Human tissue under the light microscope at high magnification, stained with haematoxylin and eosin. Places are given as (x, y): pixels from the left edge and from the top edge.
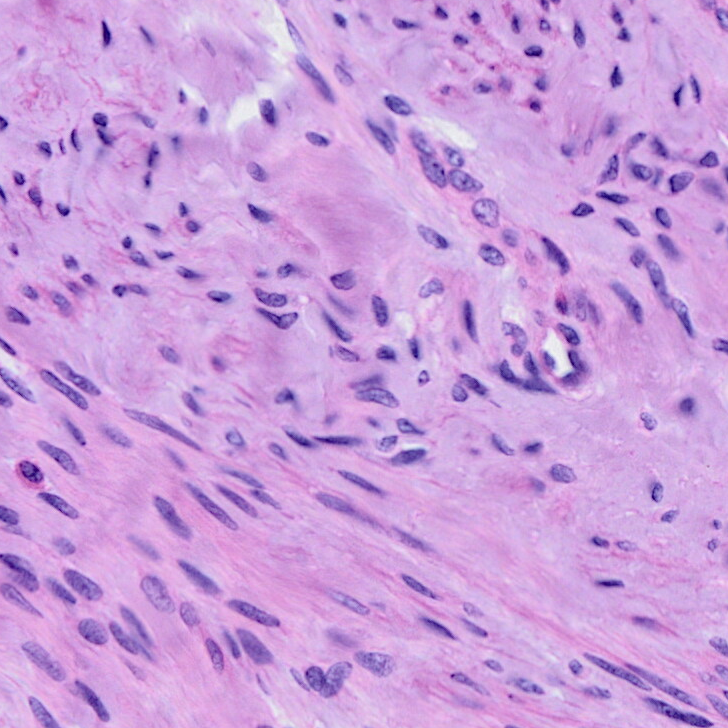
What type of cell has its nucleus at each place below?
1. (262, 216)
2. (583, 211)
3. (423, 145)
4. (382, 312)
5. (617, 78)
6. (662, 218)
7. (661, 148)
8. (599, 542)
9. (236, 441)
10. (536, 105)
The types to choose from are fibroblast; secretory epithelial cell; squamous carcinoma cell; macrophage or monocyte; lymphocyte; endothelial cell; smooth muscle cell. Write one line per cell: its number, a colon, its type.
1: fibroblast
2: fibroblast
3: endothelial cell
4: fibroblast
5: fibroblast
6: fibroblast
7: fibroblast
8: smooth muscle cell
9: smooth muscle cell
10: smooth muscle cell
